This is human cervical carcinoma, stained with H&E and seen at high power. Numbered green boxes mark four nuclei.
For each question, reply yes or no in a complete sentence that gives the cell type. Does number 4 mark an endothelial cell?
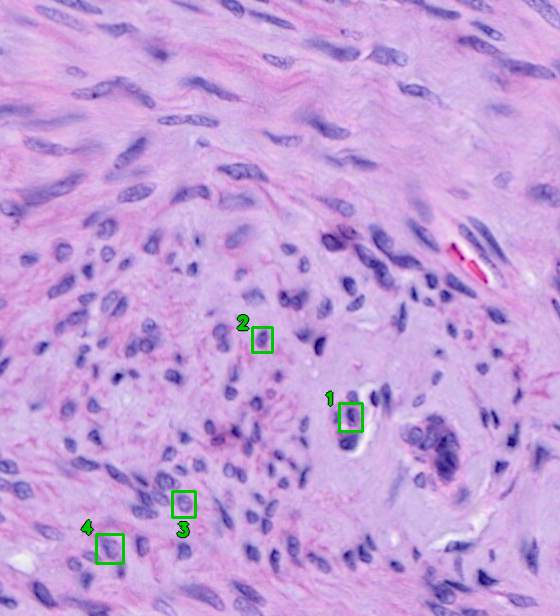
No, the cell given number 4 is a smooth muscle cell, not an endothelial cell.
